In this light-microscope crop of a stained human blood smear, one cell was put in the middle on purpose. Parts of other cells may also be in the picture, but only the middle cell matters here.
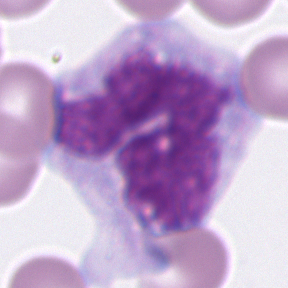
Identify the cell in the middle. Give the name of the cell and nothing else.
monocyte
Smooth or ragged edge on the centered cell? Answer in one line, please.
This cell does not have a smooth edge; it is ragged or extended into projections.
